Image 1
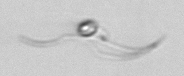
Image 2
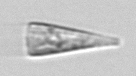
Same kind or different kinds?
Different: the first is Ophiaster, the second Licmophora.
